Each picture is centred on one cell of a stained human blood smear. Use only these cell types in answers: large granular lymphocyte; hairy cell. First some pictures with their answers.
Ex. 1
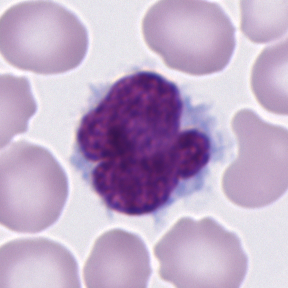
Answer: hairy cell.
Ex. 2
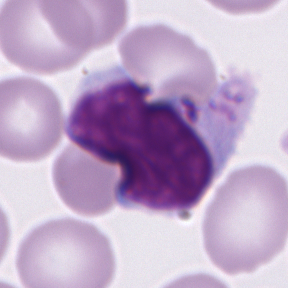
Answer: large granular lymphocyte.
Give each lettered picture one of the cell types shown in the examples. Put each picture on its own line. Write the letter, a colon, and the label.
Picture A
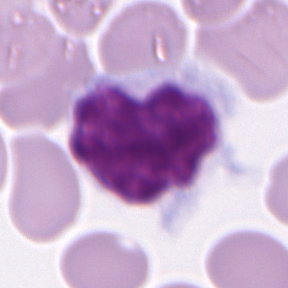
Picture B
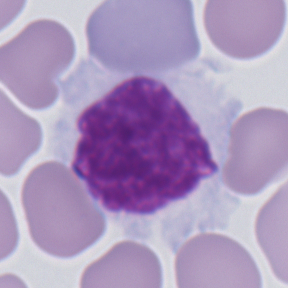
A: hairy cell.
B: hairy cell.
